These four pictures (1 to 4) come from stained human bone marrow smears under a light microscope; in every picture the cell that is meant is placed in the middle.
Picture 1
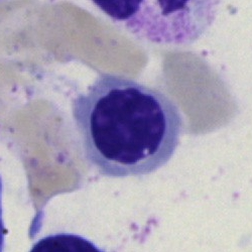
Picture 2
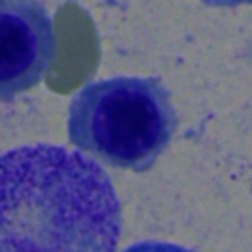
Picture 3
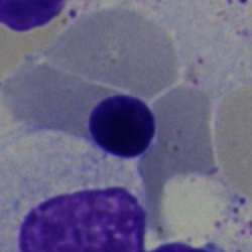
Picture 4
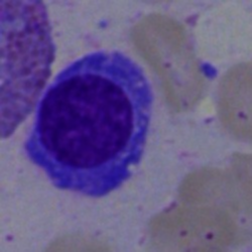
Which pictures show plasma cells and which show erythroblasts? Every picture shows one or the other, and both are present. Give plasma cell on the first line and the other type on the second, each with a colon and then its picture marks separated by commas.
plasma cell: 4
erythroblast: 1, 2, 3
